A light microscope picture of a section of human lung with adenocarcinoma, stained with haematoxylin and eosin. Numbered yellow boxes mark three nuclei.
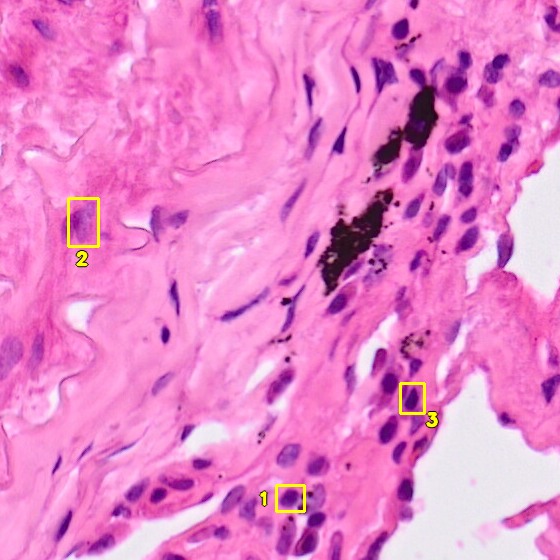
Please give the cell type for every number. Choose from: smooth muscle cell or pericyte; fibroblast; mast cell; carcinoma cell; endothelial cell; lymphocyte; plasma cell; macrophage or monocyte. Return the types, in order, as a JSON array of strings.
["lymphocyte", "smooth muscle cell or pericyte", "plasma cell"]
